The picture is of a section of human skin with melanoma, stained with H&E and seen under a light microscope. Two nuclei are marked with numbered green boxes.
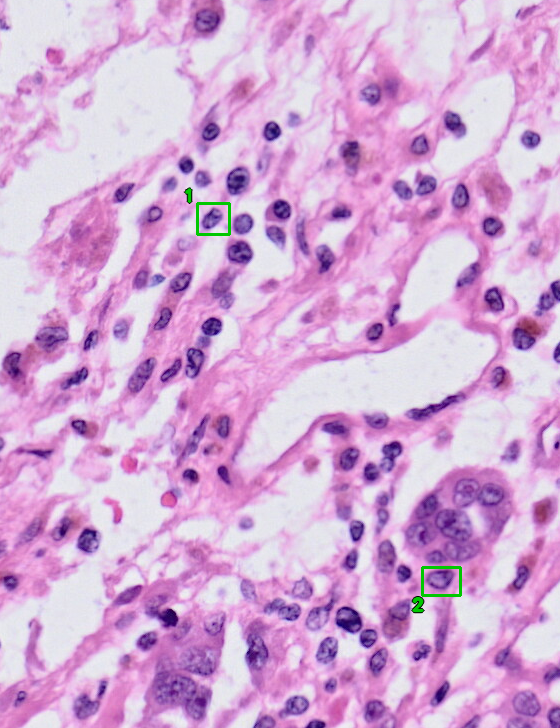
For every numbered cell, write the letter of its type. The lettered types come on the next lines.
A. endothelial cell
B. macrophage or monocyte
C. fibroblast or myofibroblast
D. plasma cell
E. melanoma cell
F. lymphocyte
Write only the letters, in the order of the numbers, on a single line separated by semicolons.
F; B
